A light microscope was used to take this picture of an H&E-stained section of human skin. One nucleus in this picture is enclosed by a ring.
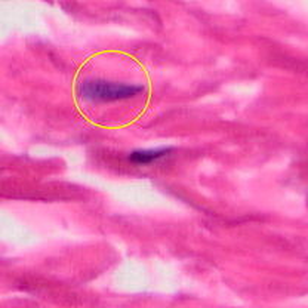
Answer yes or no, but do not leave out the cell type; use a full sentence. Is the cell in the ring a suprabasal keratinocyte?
No, not quite: the cell in the ring is a fibroblast rather than a suprabasal keratinocyte.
